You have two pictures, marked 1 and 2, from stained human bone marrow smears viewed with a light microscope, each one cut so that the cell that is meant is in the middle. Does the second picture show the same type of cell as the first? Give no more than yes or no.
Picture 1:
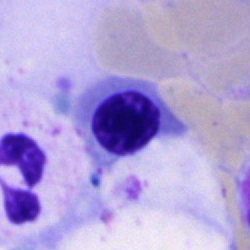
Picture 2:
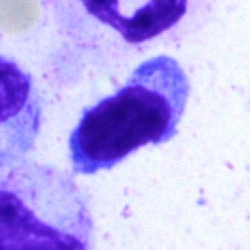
no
